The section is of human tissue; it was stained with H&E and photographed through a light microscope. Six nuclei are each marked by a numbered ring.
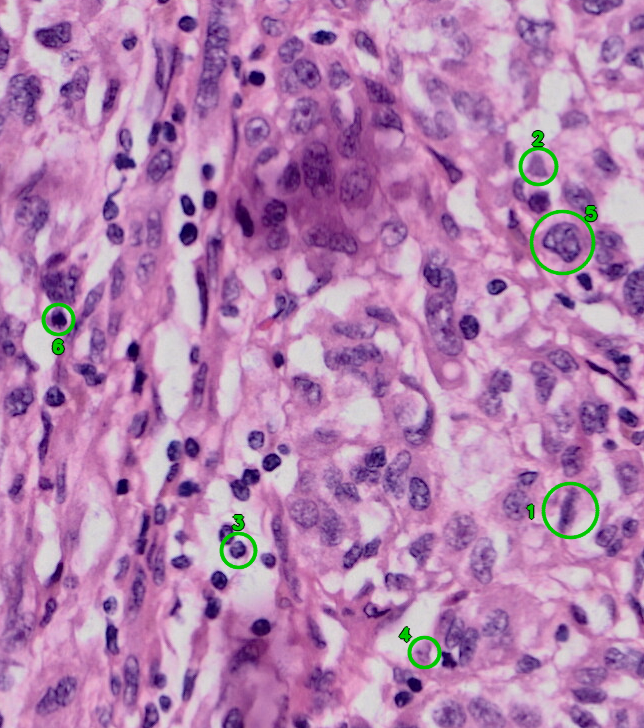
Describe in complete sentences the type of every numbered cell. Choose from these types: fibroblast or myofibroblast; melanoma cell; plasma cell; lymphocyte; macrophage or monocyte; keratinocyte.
Cell 1 is a melanoma cell, cell 2 is a melanoma cell, cell 3 is a lymphocyte, cell 4 is a melanoma cell, cell 5 is a melanoma cell and cell 6 is a lymphocyte.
